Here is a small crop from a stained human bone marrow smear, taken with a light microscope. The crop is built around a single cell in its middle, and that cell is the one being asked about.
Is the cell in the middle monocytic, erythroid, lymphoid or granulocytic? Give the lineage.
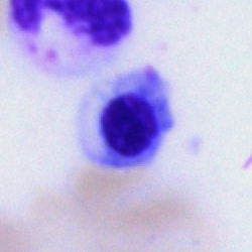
erythroid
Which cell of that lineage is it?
erythroblast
